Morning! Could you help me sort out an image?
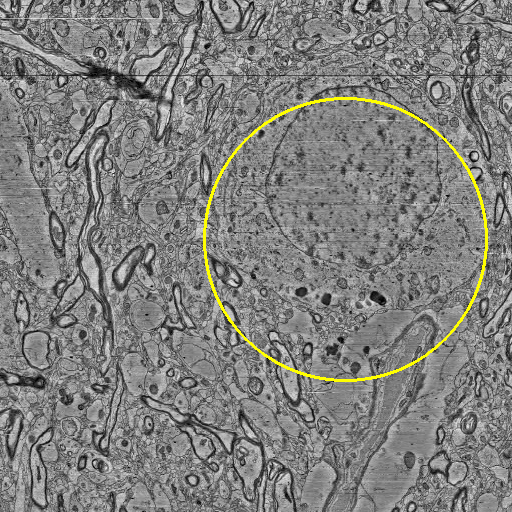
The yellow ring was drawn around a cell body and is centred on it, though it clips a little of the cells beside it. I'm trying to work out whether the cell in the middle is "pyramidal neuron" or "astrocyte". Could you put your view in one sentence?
The ringed cell body is that of a pyramidal neuron.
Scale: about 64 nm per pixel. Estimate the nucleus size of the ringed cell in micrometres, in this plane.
The nucleus comes to roughly 12 micrometres across in this plane.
